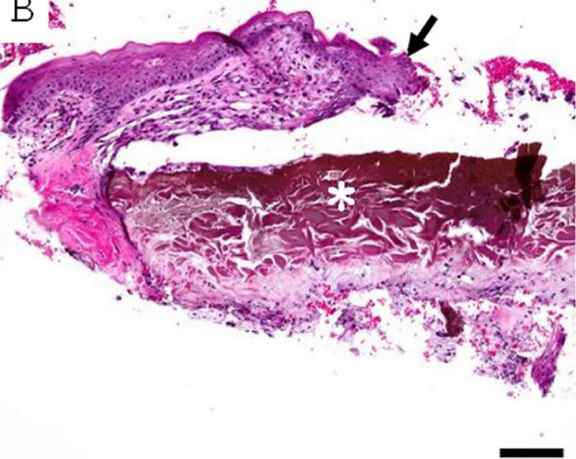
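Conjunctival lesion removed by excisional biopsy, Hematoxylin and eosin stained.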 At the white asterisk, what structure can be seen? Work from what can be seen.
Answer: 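Sequestrum. The asterisk lies in a dark red-brown band of compacted, acellular collagen. This band is separated from the overlying epithelium by a cleft.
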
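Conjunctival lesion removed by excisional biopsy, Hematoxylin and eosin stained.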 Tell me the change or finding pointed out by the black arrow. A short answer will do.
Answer: Ulceration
